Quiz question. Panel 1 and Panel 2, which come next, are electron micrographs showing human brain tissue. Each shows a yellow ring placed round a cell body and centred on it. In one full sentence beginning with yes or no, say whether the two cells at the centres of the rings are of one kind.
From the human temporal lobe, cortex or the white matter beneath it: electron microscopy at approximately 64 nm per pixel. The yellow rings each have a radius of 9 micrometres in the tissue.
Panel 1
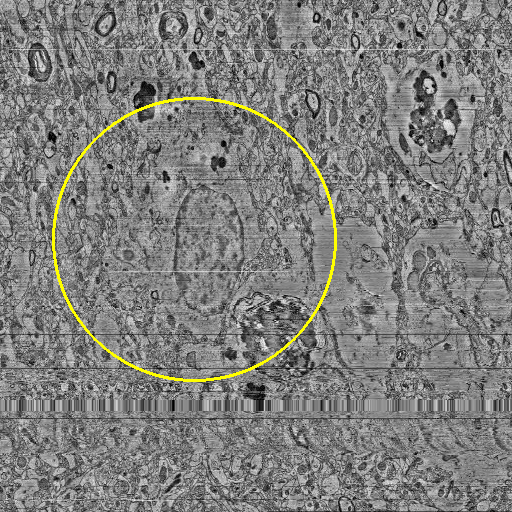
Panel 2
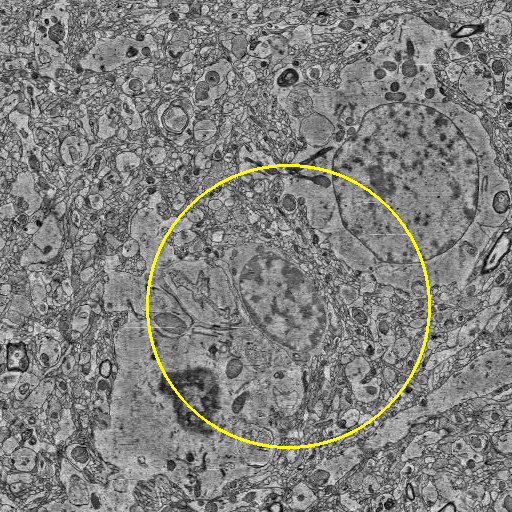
No, Panel 1 and Panel 2 show two kinds of cell at the centre of the ring.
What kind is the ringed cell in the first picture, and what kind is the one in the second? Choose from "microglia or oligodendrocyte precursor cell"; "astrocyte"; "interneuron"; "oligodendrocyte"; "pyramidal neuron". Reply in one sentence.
The first cell is an astrocyte; the second is an oligodendrocyte.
